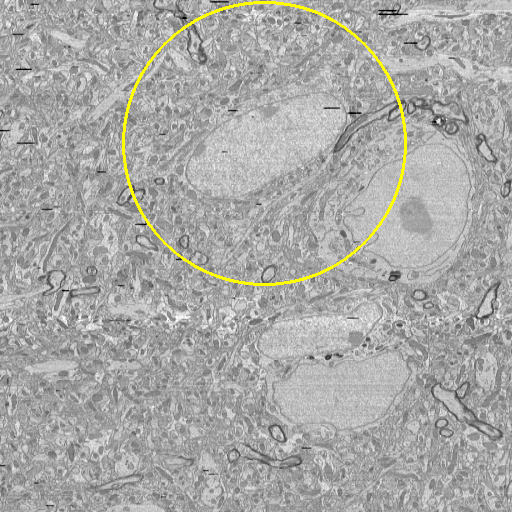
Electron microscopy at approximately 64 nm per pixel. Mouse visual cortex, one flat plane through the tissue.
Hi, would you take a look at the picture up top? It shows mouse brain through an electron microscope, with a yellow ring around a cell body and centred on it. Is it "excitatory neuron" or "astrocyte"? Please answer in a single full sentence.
The best fit for the cell in the middle of the ring is an astrocyte, I reckon.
